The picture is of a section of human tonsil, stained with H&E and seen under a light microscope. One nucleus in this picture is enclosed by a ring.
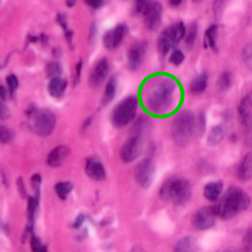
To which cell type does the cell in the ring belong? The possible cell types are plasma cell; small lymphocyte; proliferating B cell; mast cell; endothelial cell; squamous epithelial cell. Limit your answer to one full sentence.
The cell type of the cell in the ring is that of a squamous epithelial cell.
